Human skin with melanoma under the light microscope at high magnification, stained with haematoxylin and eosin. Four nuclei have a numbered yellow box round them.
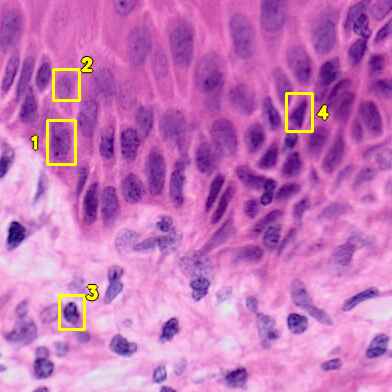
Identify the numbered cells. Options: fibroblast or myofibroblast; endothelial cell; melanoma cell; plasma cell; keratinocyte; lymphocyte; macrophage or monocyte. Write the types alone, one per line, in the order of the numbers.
keratinocyte
keratinocyte
lymphocyte
keratinocyte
